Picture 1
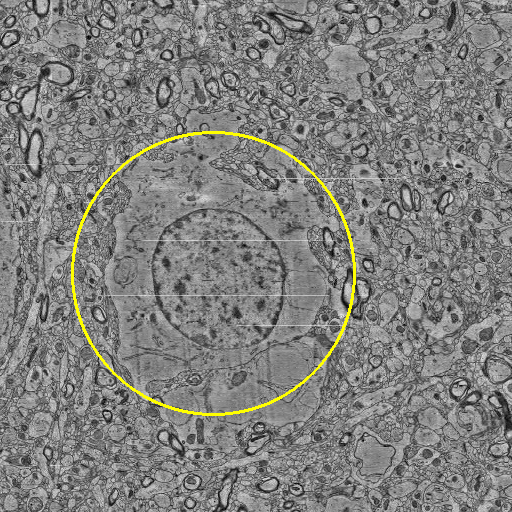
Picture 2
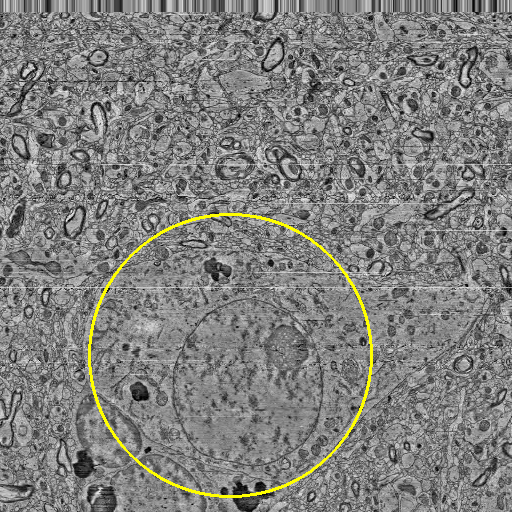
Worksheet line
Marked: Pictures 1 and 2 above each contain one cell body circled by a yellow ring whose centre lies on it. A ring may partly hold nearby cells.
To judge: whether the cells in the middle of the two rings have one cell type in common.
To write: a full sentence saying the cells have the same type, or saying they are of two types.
The cells in the middle of the rings in Picture 1 and Picture 2 are of two types.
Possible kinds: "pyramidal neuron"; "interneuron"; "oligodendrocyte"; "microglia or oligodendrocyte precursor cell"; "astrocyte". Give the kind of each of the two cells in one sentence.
The cell in the second picture is a pyramidal neuron, and that in the first is an astrocyte.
